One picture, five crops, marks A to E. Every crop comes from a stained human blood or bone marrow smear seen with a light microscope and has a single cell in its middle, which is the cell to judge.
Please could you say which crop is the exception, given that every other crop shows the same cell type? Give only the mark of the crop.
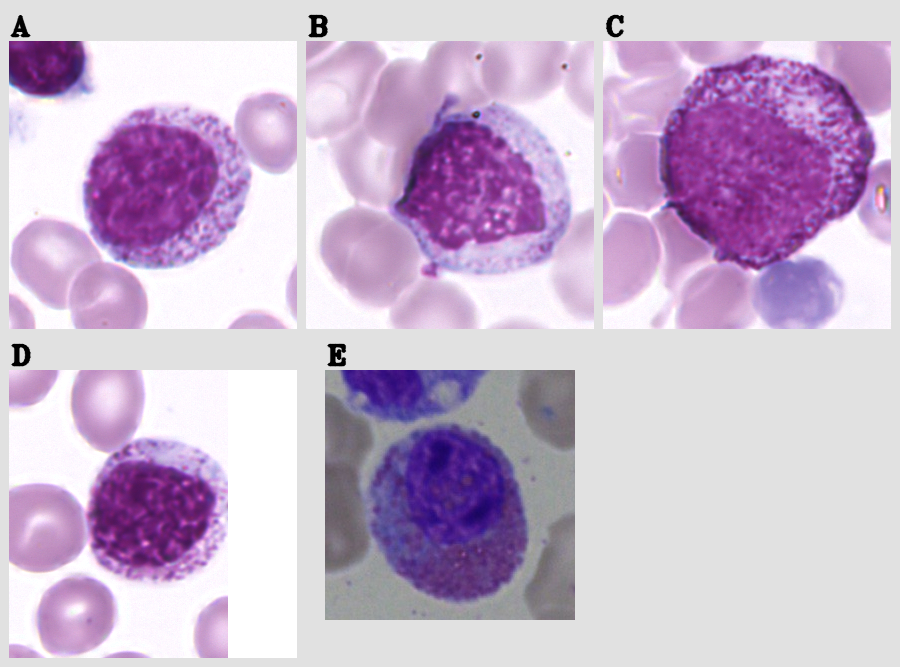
E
